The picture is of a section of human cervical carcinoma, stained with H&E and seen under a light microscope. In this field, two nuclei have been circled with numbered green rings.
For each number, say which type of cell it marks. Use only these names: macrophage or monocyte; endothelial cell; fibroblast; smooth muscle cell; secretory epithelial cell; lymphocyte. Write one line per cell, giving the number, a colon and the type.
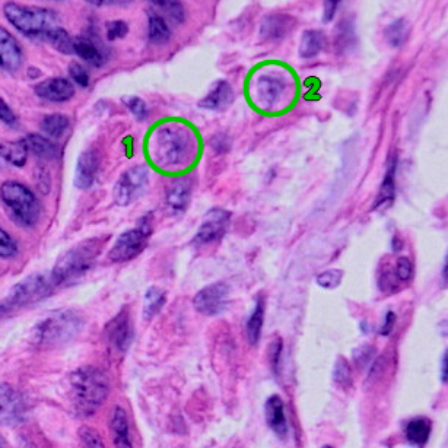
1: endothelial cell
2: fibroblast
